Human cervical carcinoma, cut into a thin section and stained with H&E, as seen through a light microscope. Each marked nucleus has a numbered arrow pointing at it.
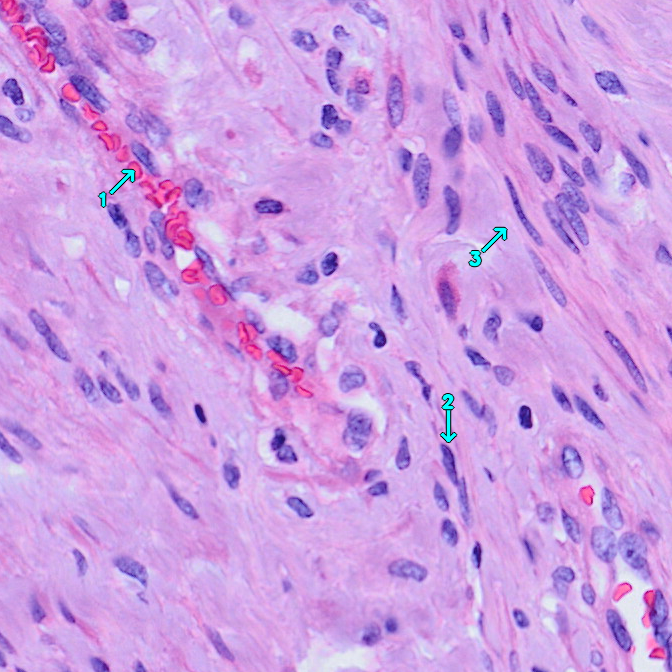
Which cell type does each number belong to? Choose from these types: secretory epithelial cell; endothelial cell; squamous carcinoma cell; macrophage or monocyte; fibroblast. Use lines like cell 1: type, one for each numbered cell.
cell 1: endothelial cell
cell 2: fibroblast
cell 3: fibroblast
